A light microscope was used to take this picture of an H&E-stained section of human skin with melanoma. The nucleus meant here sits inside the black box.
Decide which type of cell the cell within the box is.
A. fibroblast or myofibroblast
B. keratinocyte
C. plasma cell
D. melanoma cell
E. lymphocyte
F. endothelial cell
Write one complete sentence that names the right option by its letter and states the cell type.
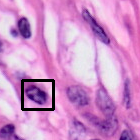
The accurate option is C, with the cell within the box being a plasma cell.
